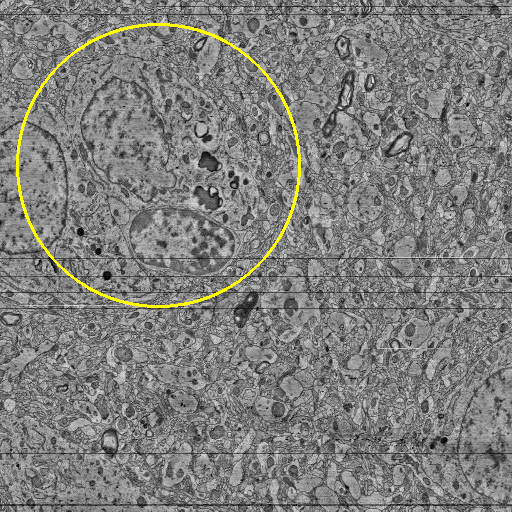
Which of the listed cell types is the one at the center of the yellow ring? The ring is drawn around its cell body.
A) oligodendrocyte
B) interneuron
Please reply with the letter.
B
